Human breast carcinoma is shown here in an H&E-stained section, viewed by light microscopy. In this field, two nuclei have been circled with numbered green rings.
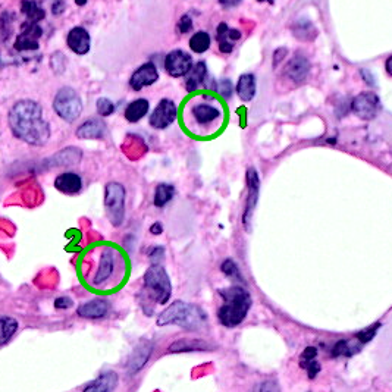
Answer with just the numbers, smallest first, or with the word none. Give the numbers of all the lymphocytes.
1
